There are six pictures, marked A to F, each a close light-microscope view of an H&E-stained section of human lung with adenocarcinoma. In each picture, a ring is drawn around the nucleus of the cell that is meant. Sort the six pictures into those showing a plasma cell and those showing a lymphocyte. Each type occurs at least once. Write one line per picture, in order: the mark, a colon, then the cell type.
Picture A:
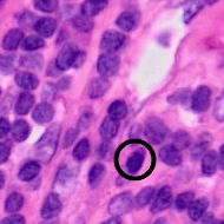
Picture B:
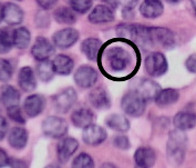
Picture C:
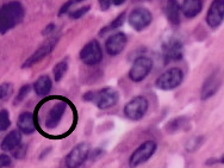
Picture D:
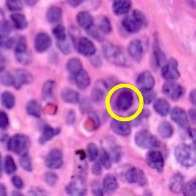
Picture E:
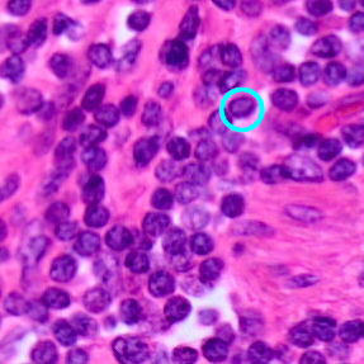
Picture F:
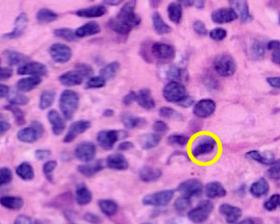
A: lymphocyte
B: lymphocyte
C: plasma cell
D: plasma cell
E: lymphocyte
F: plasma cell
